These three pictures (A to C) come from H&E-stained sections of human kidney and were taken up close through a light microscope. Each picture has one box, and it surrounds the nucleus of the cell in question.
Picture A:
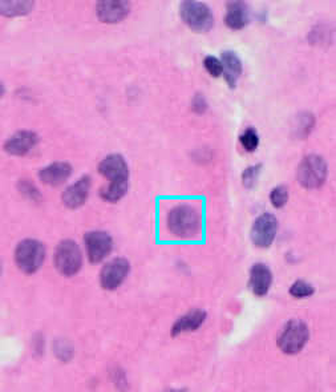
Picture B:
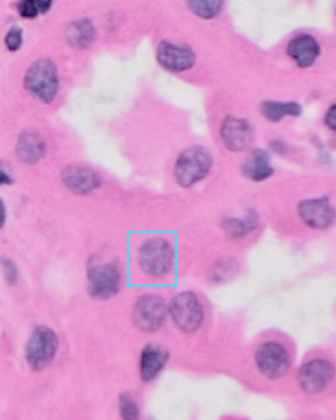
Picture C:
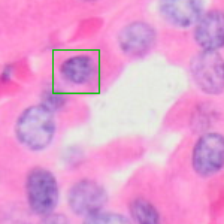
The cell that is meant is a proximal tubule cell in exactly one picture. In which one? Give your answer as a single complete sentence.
It is picture A that shows the proximal tubule cell.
